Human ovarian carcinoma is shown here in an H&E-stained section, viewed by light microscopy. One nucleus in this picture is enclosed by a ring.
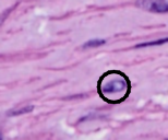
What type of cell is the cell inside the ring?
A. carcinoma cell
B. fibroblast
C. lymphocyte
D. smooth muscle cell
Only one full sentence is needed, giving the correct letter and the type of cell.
Settle on option B; the cell inside the ring is a fibroblast.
